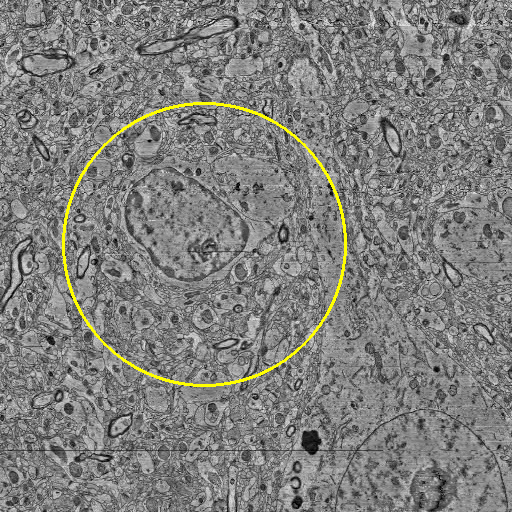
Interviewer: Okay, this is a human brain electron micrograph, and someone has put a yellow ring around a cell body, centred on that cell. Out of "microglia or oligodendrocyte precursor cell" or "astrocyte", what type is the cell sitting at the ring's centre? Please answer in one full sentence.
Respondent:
The cell at the centre of the yellow ring in this picture is a microglial cell or oligodendrocyte precursor cell.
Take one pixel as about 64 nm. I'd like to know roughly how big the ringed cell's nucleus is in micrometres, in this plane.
In this plane, approximately 8 by 6 micrometers.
